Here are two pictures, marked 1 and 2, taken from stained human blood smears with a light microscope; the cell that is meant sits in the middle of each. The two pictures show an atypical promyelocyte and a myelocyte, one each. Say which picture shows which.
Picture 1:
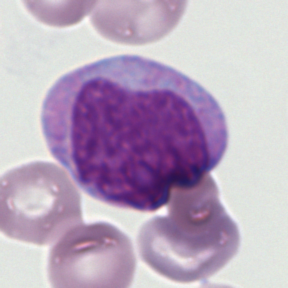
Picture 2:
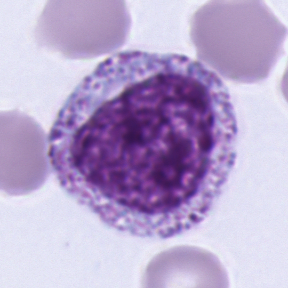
1: atypical promyelocyte
2: myelocyte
